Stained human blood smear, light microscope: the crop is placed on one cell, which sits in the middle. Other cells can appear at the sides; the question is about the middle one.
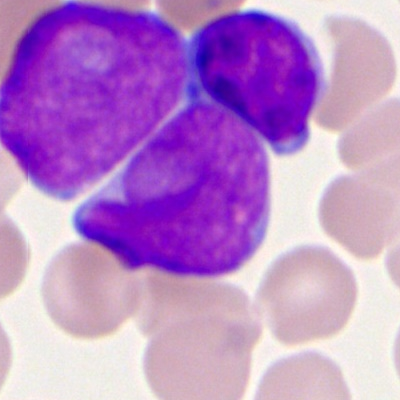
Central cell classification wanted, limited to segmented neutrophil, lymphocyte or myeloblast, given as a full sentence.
The cell featured at the centre of this crop is a myeloblast.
